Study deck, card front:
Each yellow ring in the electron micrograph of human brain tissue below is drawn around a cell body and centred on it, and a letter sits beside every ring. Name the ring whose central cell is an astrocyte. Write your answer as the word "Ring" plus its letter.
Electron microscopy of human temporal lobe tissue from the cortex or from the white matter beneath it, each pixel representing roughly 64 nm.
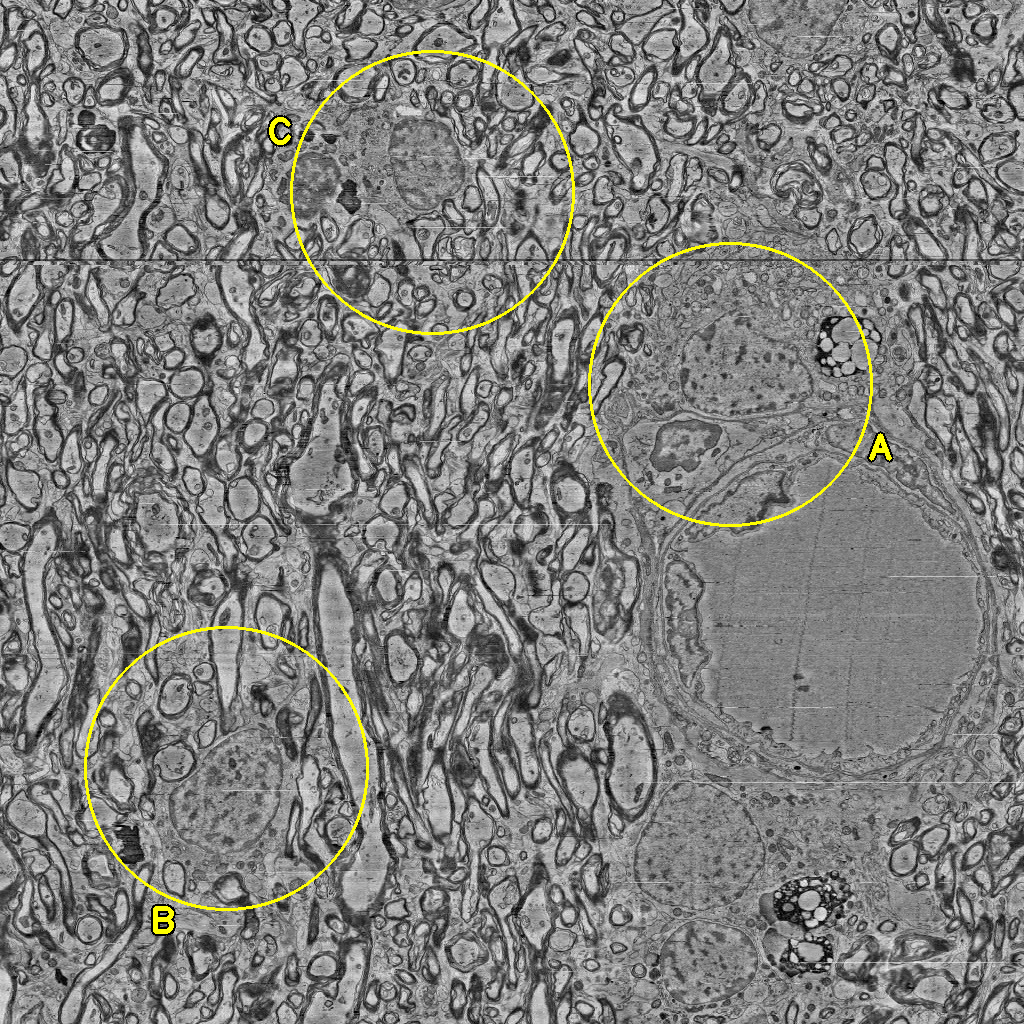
Ring A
